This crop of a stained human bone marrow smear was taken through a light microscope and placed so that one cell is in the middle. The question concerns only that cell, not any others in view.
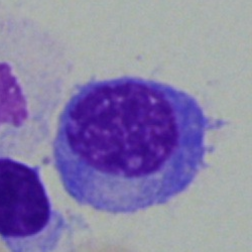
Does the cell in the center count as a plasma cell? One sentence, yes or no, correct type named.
Yes, the cell that the crop is centred on is a plasma cell.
